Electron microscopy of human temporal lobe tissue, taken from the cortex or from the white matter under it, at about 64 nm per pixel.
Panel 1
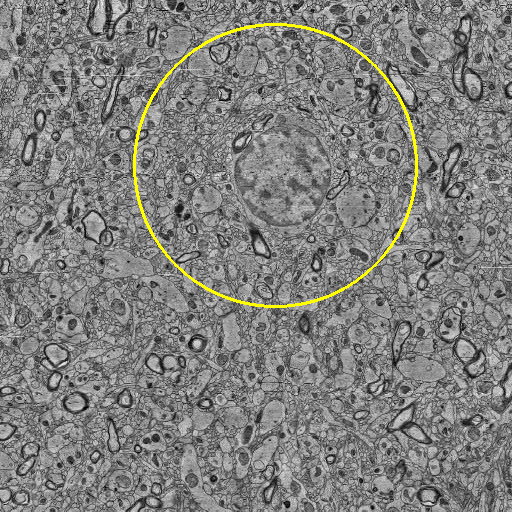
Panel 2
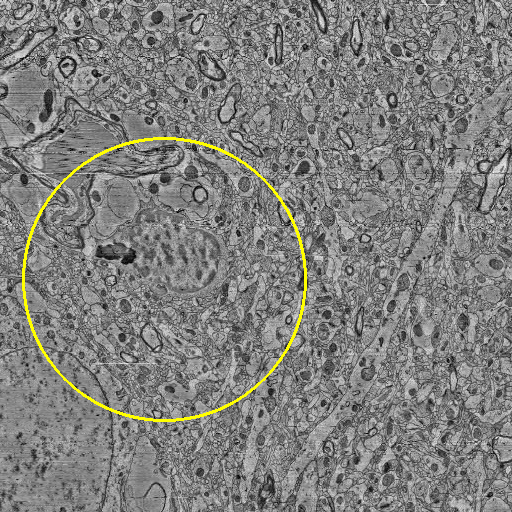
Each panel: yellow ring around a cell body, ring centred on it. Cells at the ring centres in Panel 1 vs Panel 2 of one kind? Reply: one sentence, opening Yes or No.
Yes, Panel 1 and Panel 2 have cells of one kind at the ring centres.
